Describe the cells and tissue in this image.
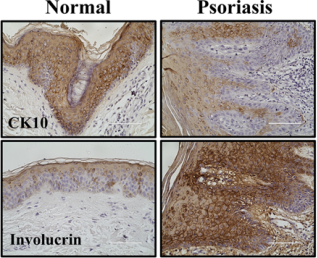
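Four small fields of human skin are shown, with a stratified epidermis above a paler dermis. The epidermis is stained brown in its layers above the base, while blue nuclei stand out, especially in the lowest cell rows and in the loose dermis beneath. In the right fields the epidermis is thicker, with long downward projections reaching into the dermis. The brown stain in the lower right field fills most of the thickened epidermis.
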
